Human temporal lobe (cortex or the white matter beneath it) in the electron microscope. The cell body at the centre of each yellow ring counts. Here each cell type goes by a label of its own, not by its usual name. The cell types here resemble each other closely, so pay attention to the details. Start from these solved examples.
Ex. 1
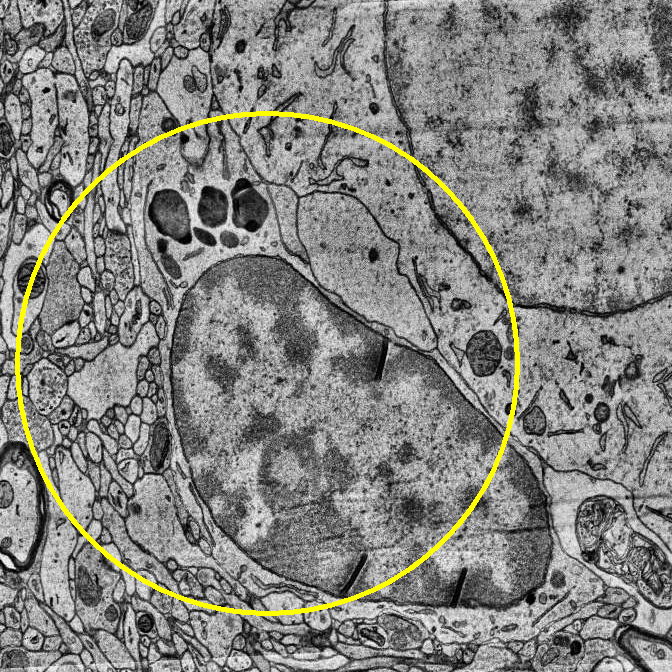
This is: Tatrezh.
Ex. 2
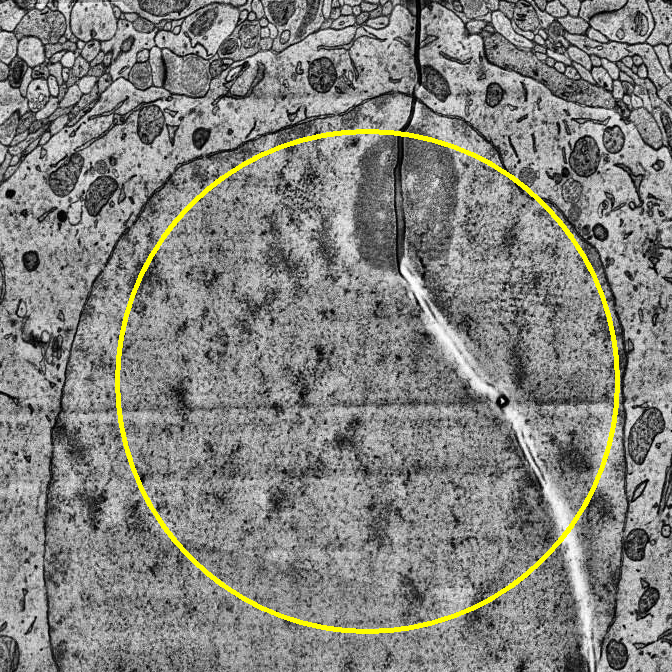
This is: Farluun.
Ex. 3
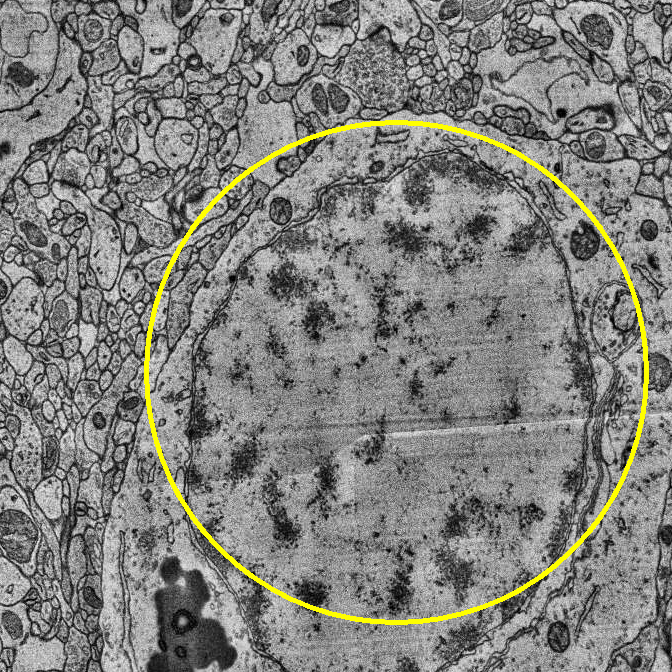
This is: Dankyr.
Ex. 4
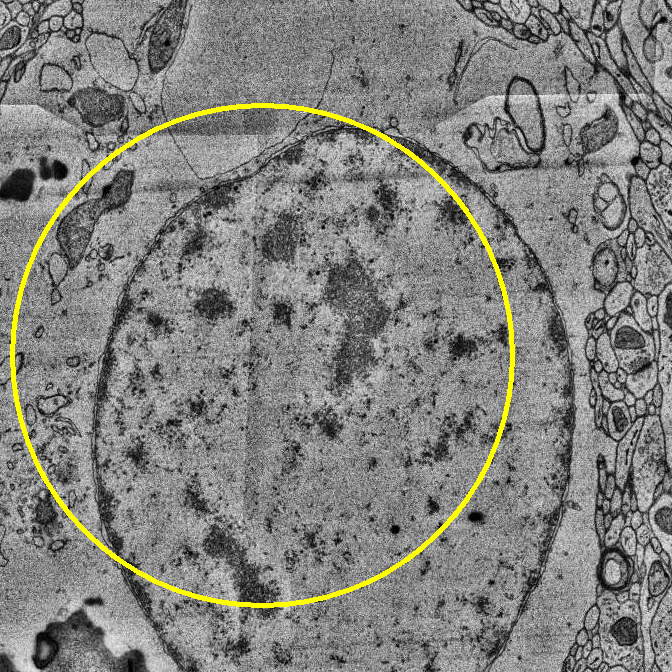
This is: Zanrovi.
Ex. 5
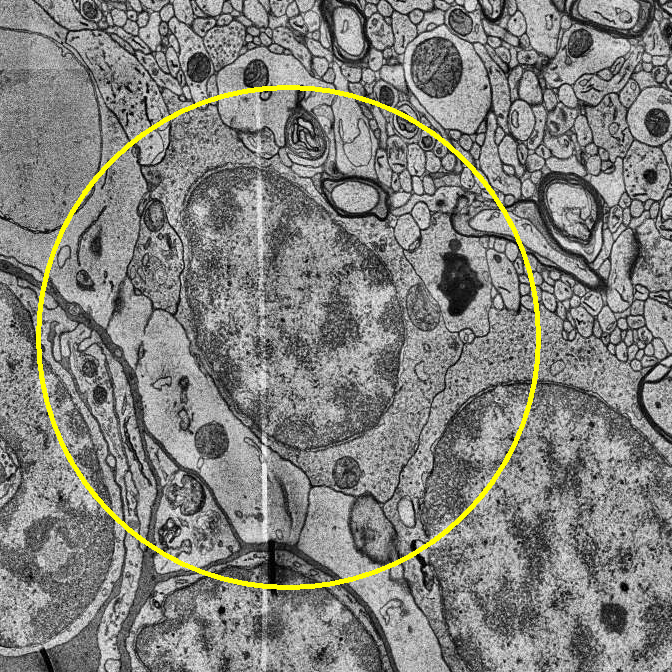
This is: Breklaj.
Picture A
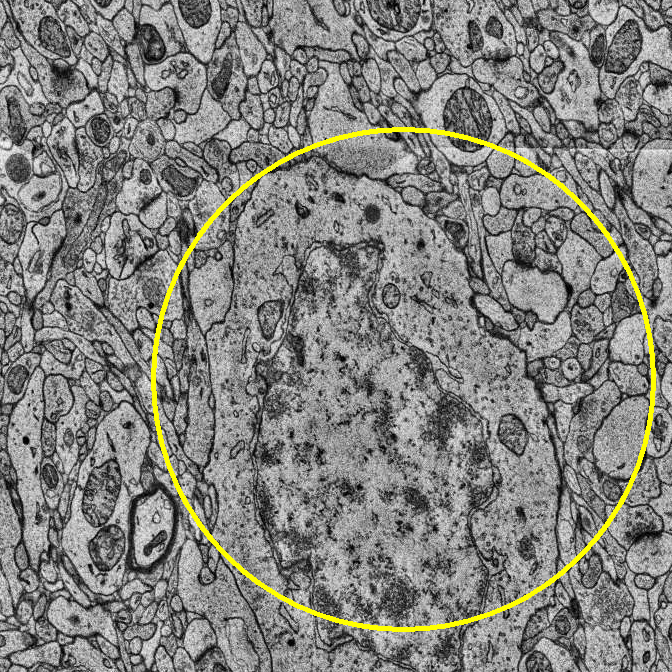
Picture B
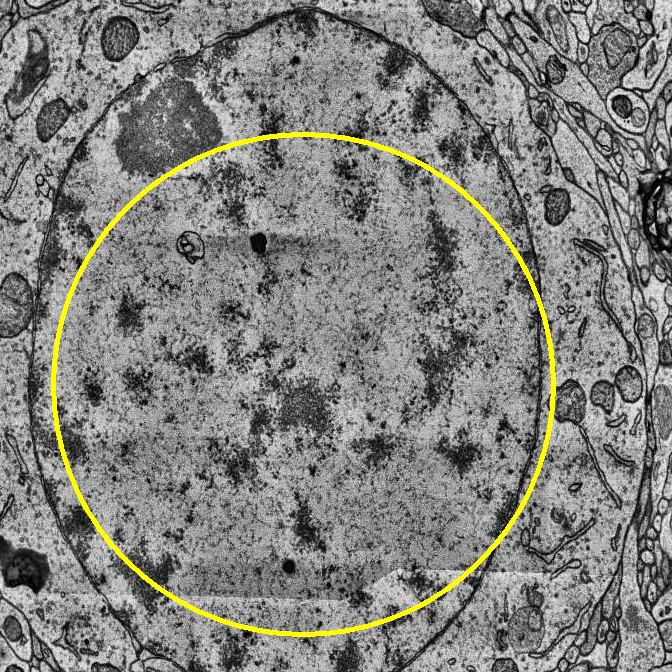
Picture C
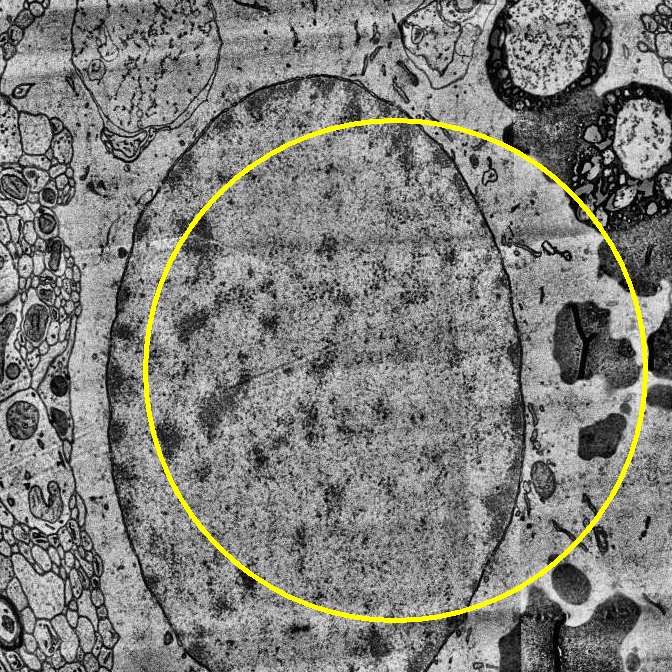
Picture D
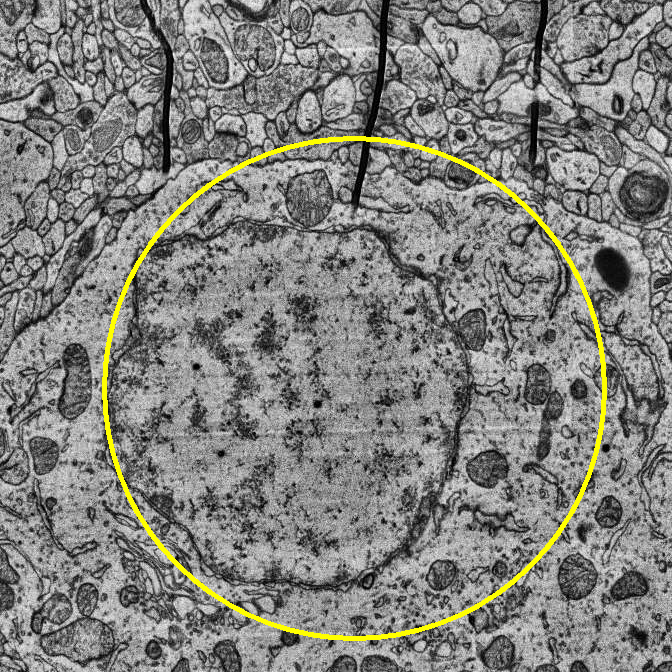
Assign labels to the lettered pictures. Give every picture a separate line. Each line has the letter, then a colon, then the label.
A: Dankyr.
B: Farluun.
C: Zanrovi.
D: Dankyr.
